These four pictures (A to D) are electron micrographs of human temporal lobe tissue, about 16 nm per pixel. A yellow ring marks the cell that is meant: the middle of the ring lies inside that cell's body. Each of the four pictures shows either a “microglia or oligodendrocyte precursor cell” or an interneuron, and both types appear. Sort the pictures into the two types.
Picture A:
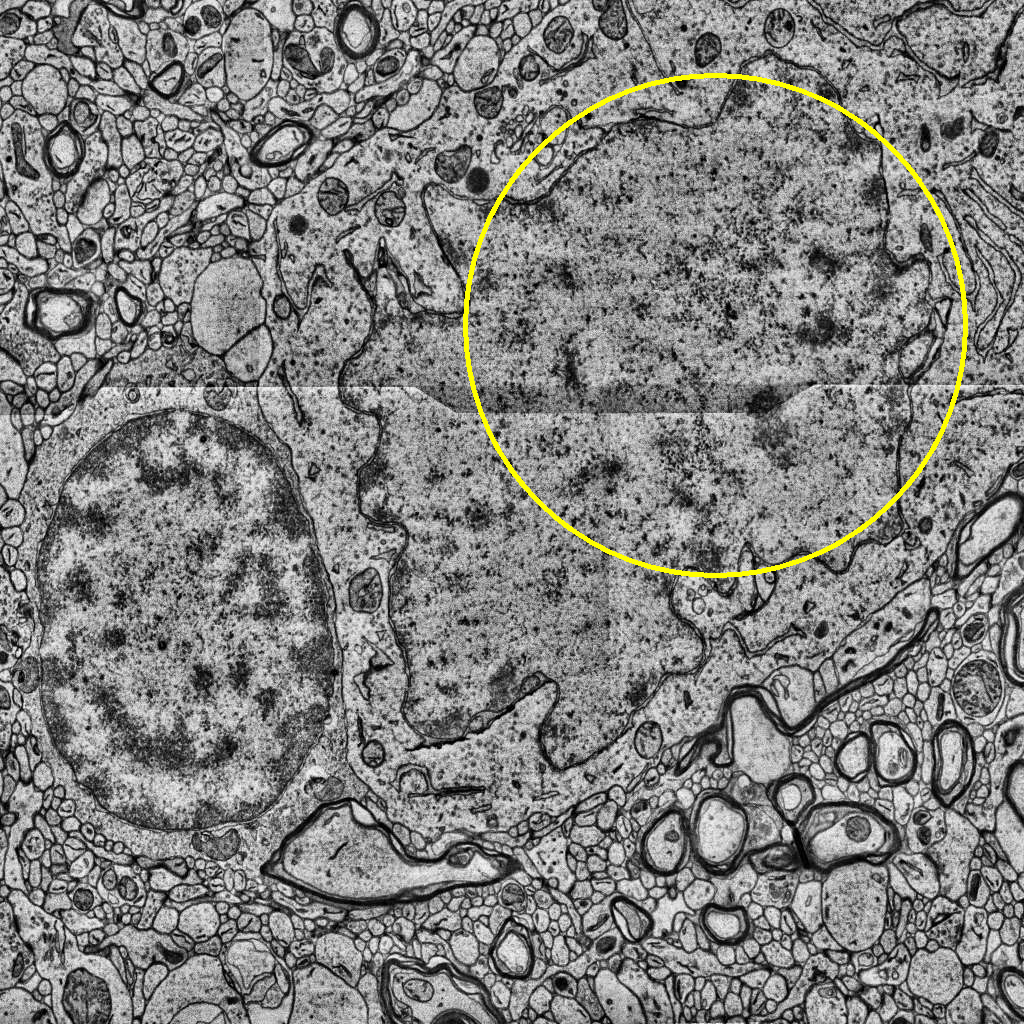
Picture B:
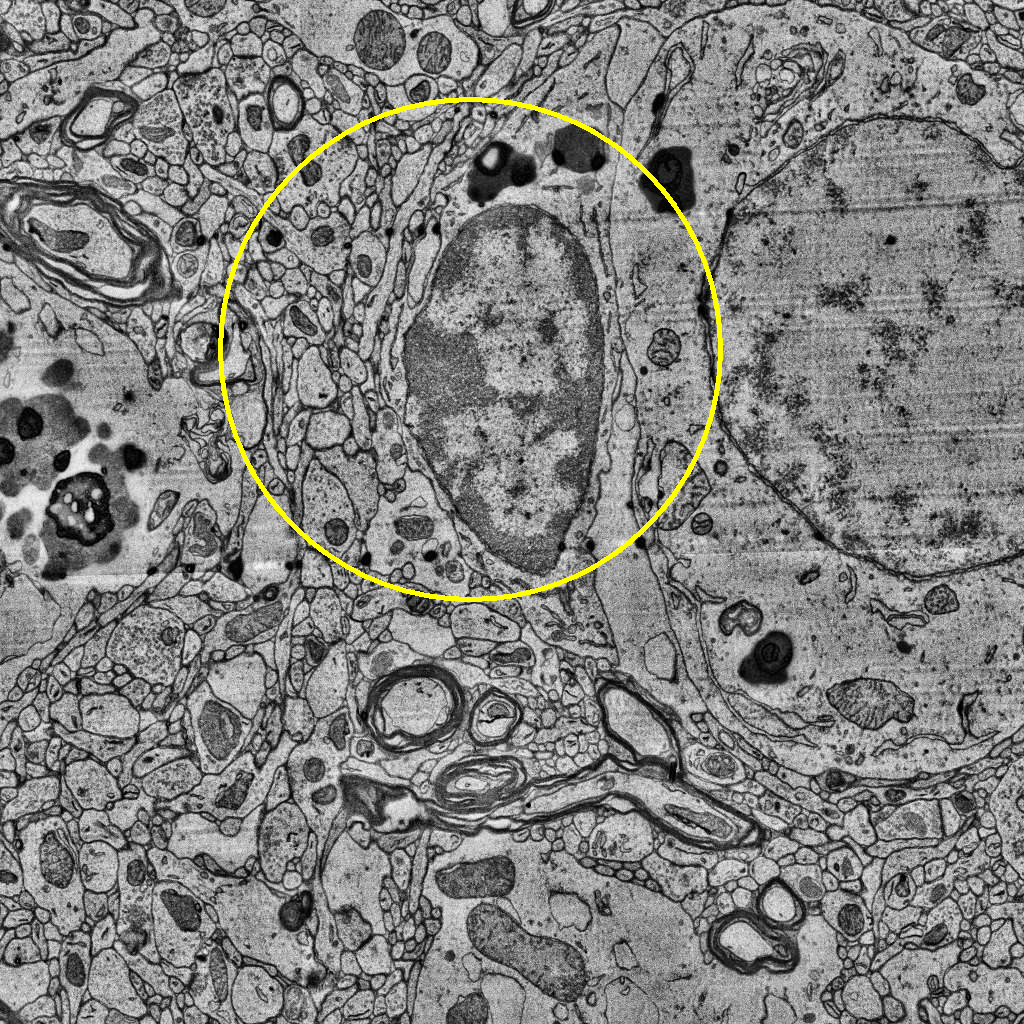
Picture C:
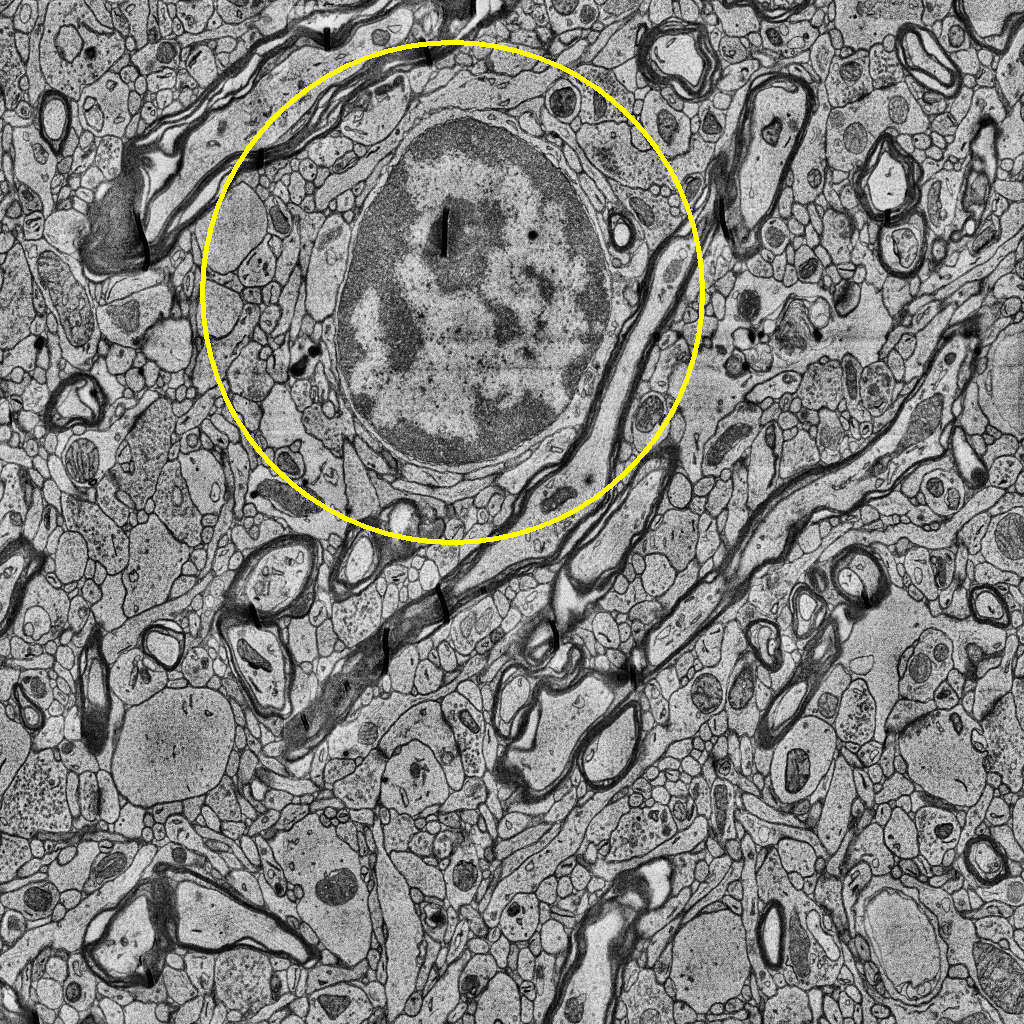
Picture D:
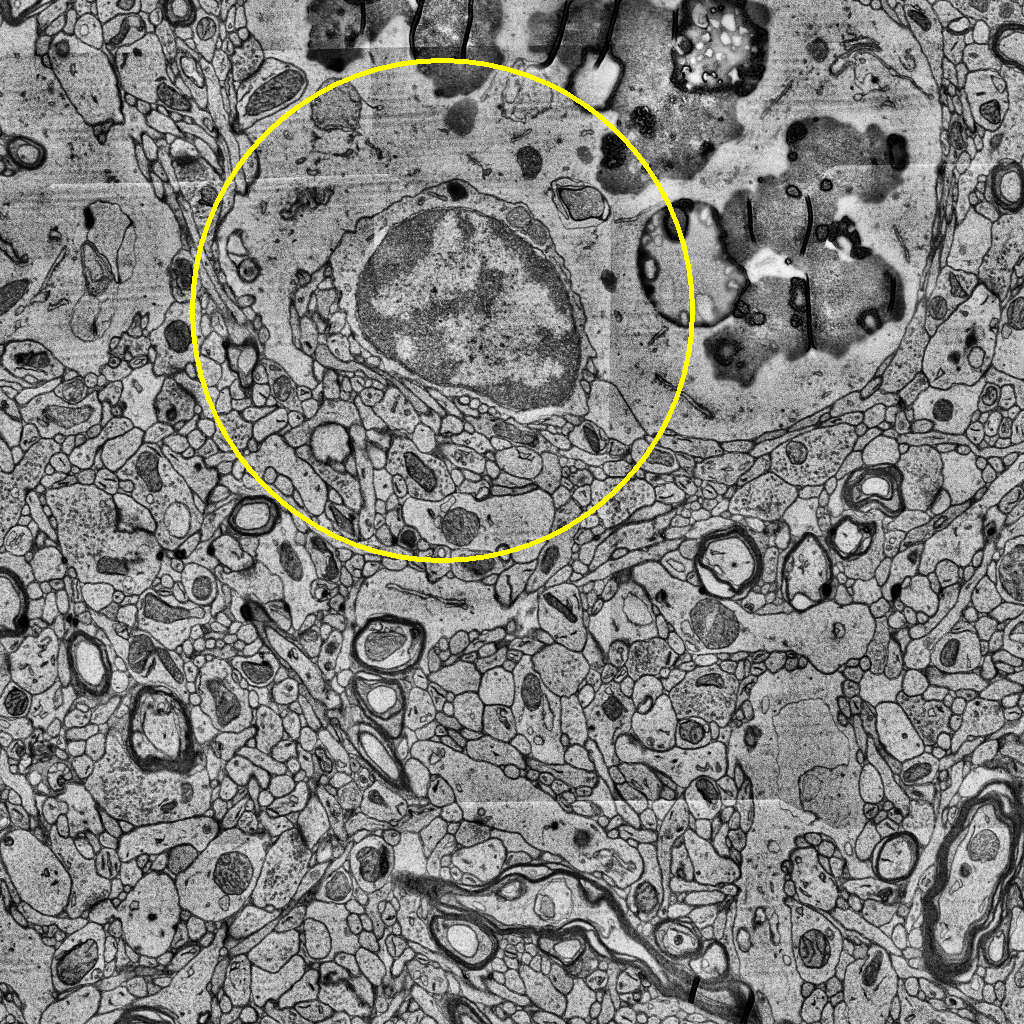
Pictures B, C and D show “microglia or oligodendrocyte precursor cells”, while picture A shows an interneuron.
